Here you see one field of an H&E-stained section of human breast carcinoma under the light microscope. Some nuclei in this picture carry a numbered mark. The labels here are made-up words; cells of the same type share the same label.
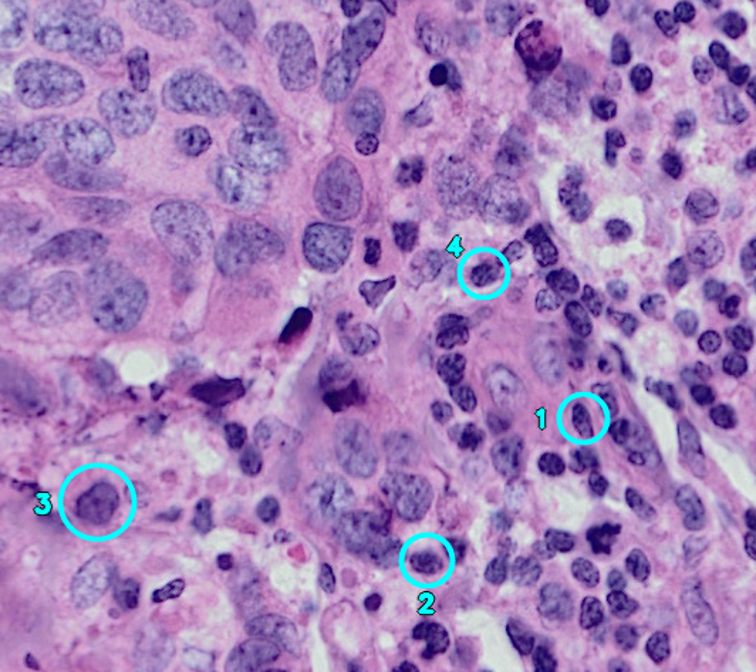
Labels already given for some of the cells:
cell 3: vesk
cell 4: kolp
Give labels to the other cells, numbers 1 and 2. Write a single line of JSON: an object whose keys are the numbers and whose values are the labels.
{"1": "kolp", "2": "kolp"}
